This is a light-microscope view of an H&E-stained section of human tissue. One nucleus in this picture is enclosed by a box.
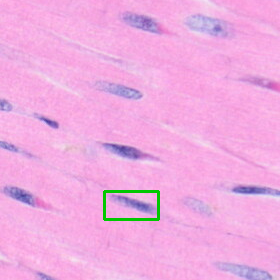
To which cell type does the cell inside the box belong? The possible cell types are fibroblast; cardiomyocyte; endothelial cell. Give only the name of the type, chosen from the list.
endothelial cell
